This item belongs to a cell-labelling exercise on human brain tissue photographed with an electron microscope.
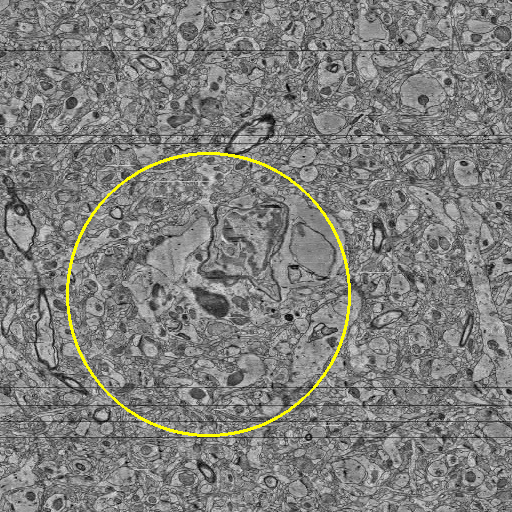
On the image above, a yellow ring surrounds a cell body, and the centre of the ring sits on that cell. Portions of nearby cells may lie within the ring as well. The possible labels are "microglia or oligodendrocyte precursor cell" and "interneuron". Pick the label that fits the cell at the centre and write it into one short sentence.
This cell should be labelled as a microglial cell or oligodendrocyte precursor cell.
